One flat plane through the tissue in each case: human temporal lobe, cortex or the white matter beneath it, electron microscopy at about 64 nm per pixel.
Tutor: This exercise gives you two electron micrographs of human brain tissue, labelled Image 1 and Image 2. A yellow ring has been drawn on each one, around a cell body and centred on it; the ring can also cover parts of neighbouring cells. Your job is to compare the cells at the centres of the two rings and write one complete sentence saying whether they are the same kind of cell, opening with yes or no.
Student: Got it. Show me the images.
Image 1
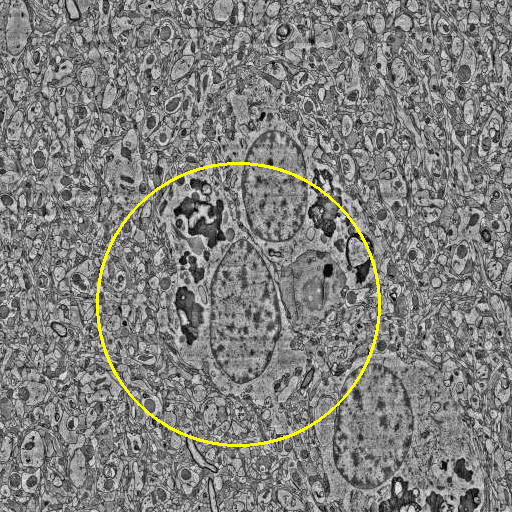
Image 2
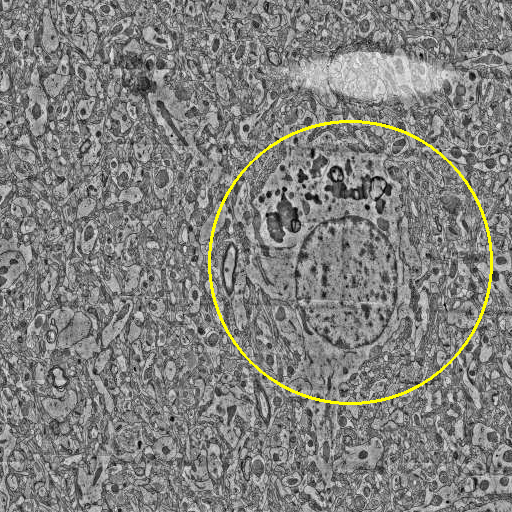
Yes, the two cells belong to the same kind.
